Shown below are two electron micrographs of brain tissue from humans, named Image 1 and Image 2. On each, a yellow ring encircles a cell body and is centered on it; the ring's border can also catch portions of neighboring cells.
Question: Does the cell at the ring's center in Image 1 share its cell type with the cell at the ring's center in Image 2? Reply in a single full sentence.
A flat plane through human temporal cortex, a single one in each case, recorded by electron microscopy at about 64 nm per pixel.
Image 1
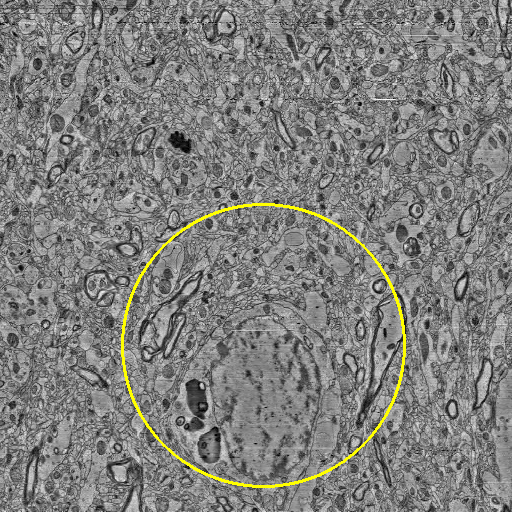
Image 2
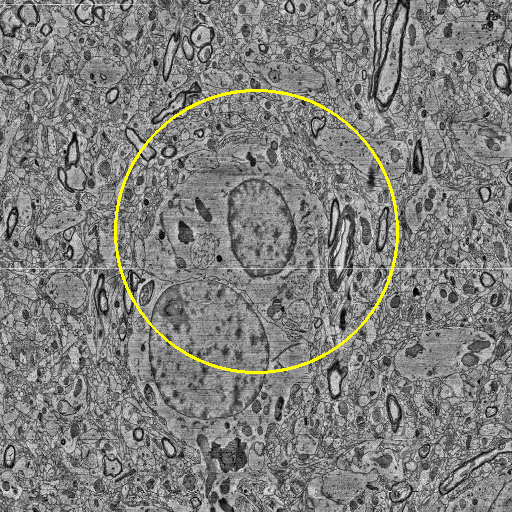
No, the two cells at the ring centers, in Image 1 and Image 2, are of two cell types.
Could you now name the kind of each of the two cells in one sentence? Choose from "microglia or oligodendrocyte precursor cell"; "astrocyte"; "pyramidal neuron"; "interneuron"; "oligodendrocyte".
The first ring encloses an interneuron; the second ring encloses an astrocyte.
